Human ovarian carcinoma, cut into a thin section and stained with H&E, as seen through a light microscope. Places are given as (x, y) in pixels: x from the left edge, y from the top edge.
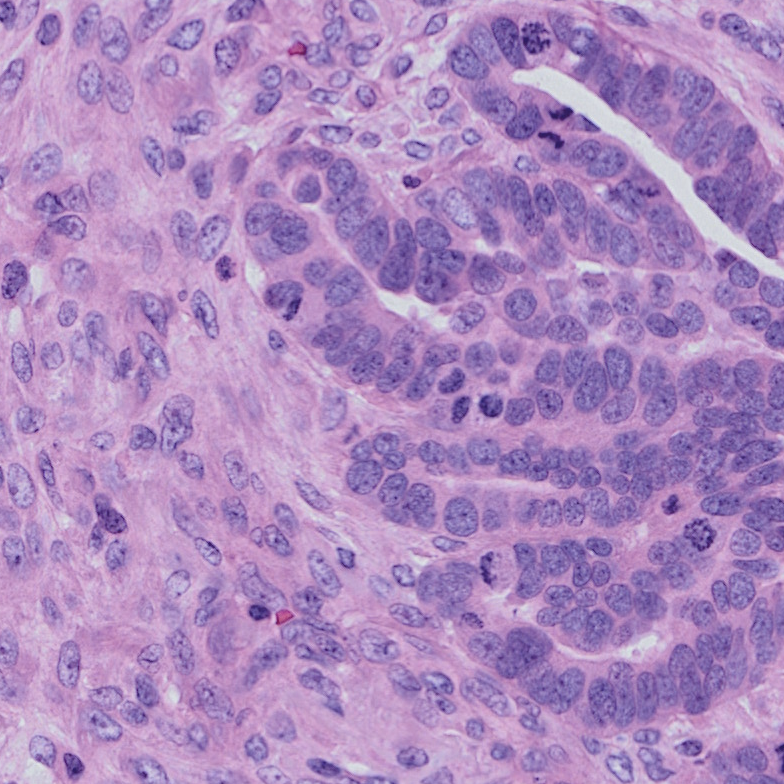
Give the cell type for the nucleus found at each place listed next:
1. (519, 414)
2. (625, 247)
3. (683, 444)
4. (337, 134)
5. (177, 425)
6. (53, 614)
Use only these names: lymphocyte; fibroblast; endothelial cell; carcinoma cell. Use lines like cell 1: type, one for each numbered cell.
cell 1: carcinoma cell
cell 2: carcinoma cell
cell 3: carcinoma cell
cell 4: fibroblast
cell 5: fibroblast
cell 6: fibroblast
